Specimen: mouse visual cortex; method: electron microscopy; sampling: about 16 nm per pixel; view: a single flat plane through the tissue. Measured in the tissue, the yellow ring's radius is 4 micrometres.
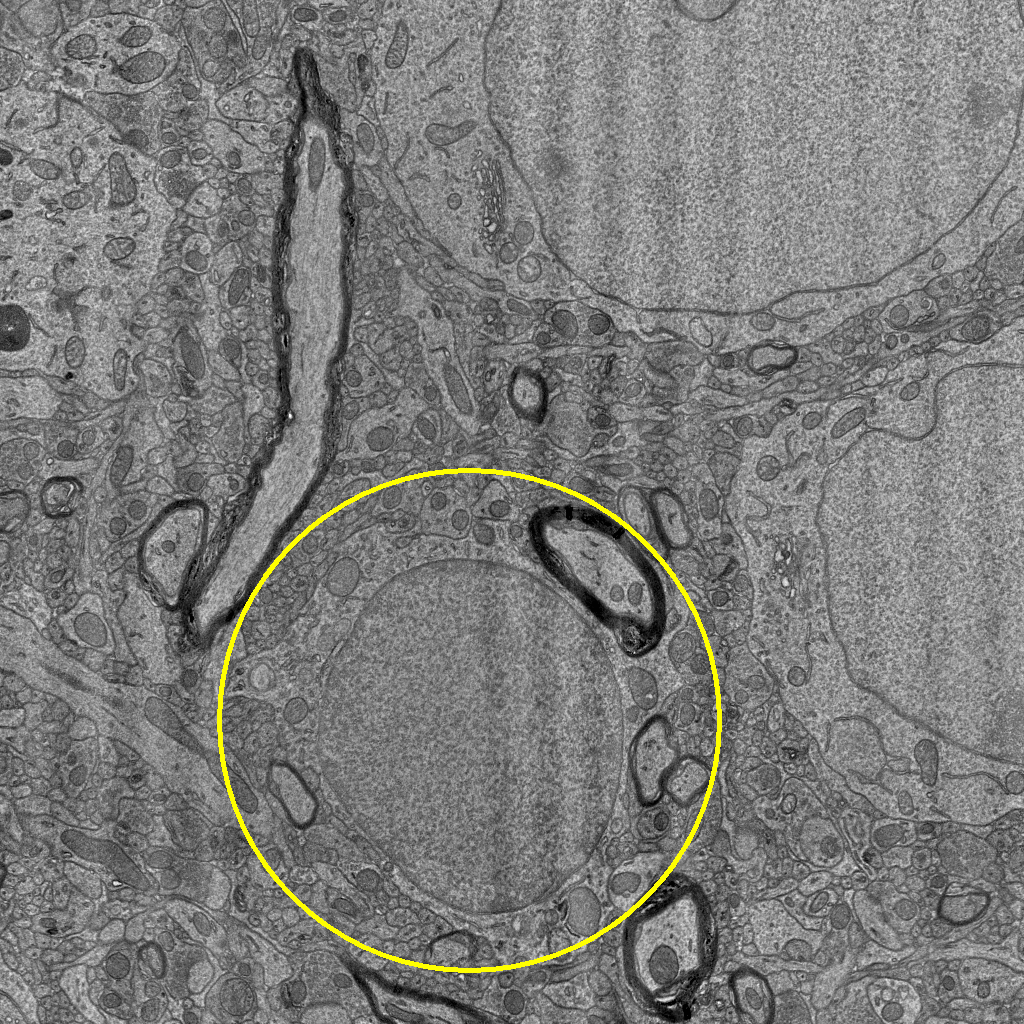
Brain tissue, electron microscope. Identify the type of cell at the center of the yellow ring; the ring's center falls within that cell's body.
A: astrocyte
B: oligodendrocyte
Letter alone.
A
